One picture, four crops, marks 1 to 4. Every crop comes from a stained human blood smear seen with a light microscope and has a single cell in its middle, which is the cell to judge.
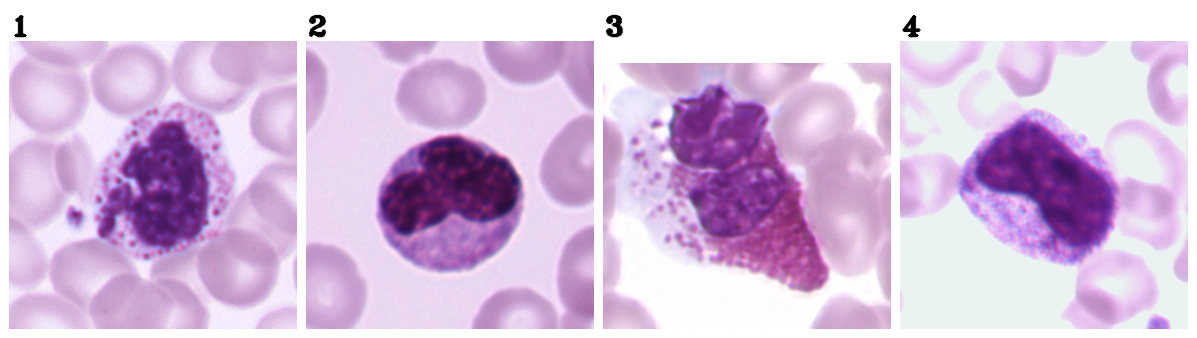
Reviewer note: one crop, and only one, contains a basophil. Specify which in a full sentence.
Crop 1 is the one to choose: it shows a basophil.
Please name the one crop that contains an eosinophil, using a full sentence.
Crop 3, and no other, is the one that shows an eosinophil.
